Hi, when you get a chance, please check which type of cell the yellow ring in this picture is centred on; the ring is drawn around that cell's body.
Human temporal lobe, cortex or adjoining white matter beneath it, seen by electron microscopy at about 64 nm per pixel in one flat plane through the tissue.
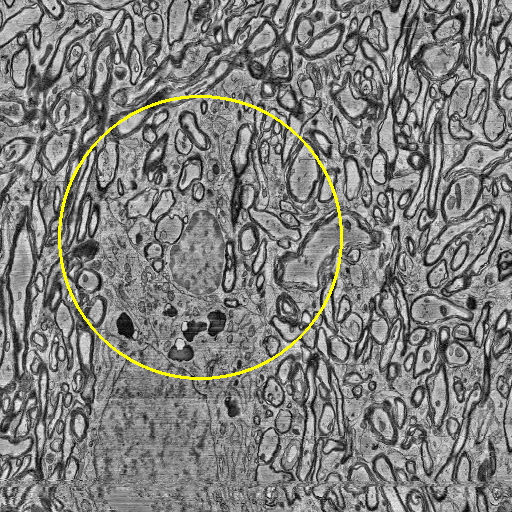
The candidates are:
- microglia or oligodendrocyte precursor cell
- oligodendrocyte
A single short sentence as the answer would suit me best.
The ring is drawn around the body of a microglial cell or oligodendrocyte precursor cell.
